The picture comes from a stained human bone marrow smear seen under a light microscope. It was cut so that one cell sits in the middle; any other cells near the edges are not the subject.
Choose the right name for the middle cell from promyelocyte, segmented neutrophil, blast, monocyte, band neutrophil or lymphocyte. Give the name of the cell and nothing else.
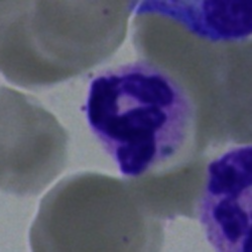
segmented neutrophil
